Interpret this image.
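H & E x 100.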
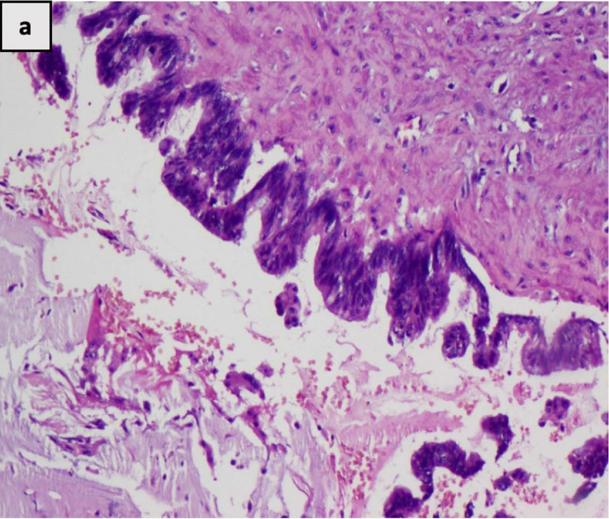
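Here a lining epithelium forms small micropapillary projections that stick out into a lumen. Along the wall the epithelium is thrown into tufts and finger-like folds made of crowded cells with dark purple nuclei, stacked several deep. Some small clusters have broken off and float freely in the lumen. Behind the epithelium lies pink, fairly cellular stroma with spindle-shaped nuclei and a few small vessels. The lumen itself is filled with pale, wispy, faintly pink to grey material along with scattered red blood cells, which is the mucin the lining has produced.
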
